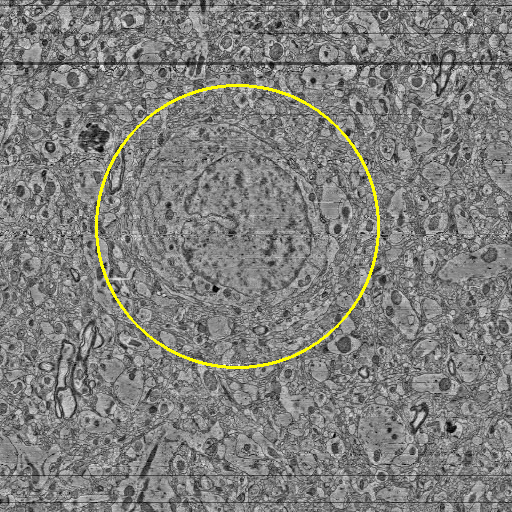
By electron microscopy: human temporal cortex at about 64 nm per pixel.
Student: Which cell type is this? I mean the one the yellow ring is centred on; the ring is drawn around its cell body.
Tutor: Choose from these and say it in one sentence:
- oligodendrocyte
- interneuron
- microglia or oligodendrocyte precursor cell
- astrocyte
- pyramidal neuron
The cell the ring is centred on is an interneuron.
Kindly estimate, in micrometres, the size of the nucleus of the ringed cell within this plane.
Approximately 10 x 8 micrometres in this plane.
